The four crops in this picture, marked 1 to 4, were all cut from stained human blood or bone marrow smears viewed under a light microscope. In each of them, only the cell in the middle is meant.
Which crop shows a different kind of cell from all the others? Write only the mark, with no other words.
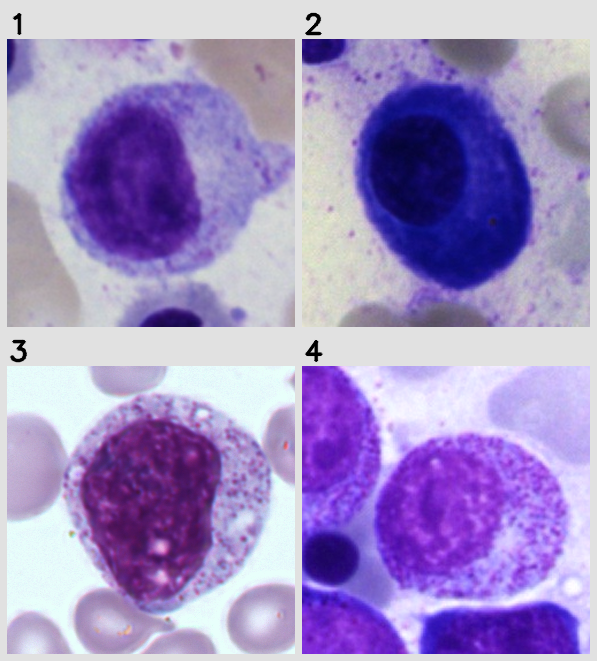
2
